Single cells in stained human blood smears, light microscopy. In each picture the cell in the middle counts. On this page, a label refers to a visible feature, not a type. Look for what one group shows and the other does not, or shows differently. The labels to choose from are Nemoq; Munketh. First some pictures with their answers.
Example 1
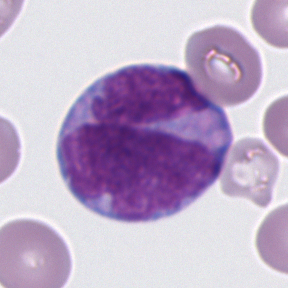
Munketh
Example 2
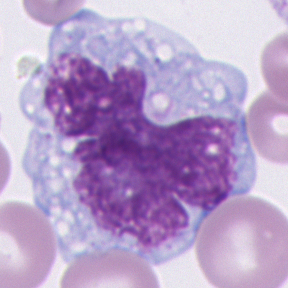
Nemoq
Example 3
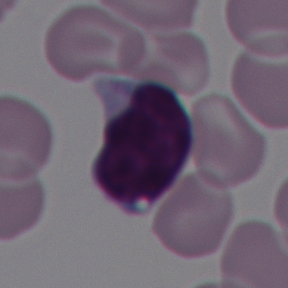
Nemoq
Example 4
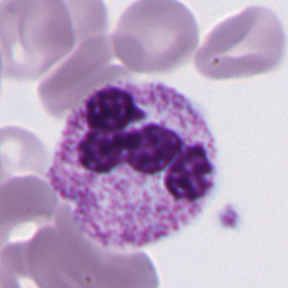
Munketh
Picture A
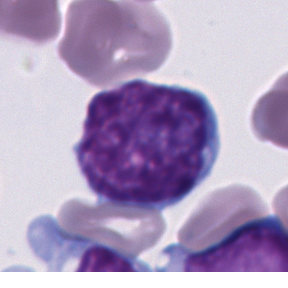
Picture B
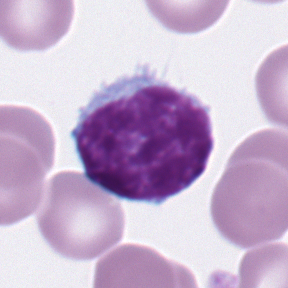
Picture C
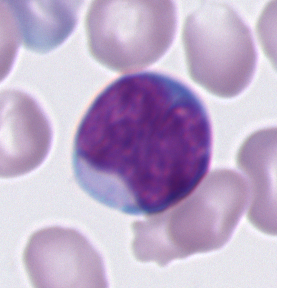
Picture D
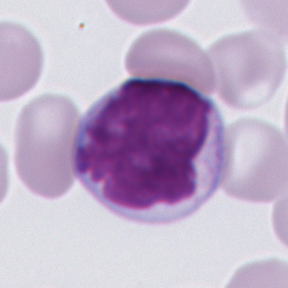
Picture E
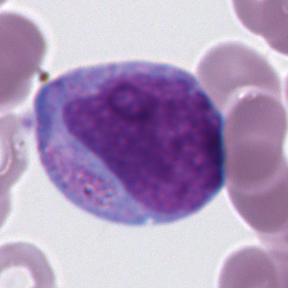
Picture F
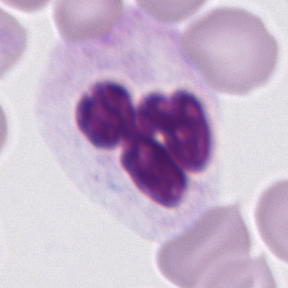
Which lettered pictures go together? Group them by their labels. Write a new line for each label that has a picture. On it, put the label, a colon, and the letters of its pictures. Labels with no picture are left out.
Nemoq: B
Munketh: A, C, D, E, F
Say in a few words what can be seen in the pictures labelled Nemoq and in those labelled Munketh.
Nemoq, ragged outline or projections; Munketh, smooth outline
